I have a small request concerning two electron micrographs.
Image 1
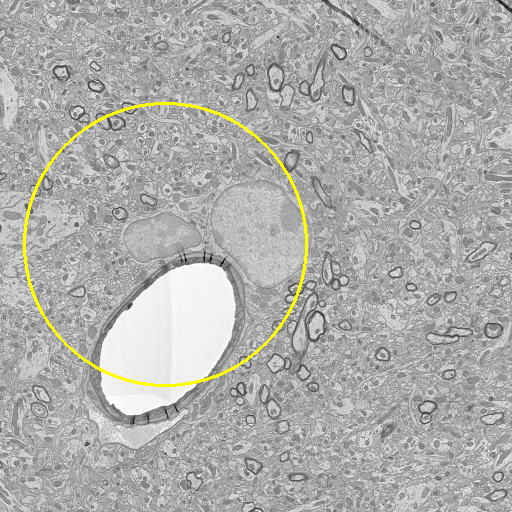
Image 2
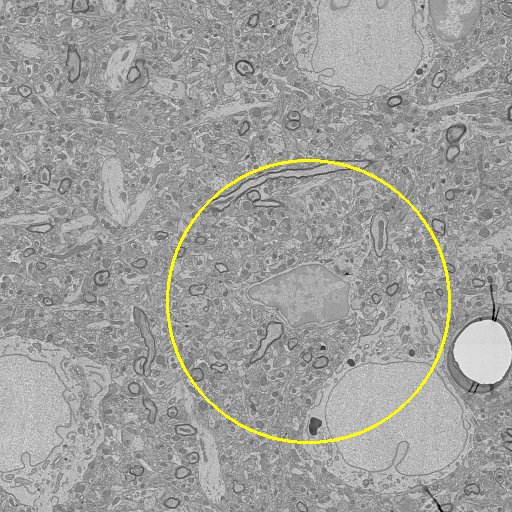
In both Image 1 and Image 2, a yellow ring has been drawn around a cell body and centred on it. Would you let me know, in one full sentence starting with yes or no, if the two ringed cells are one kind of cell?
Yes, the cells ringed in Image 1 and Image 2 are one kind of cell.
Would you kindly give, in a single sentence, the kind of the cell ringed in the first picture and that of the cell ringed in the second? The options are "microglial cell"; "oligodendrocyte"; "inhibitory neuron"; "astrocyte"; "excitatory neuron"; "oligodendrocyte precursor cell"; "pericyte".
Each cell, in the first picture and the second, is a microglial cell.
